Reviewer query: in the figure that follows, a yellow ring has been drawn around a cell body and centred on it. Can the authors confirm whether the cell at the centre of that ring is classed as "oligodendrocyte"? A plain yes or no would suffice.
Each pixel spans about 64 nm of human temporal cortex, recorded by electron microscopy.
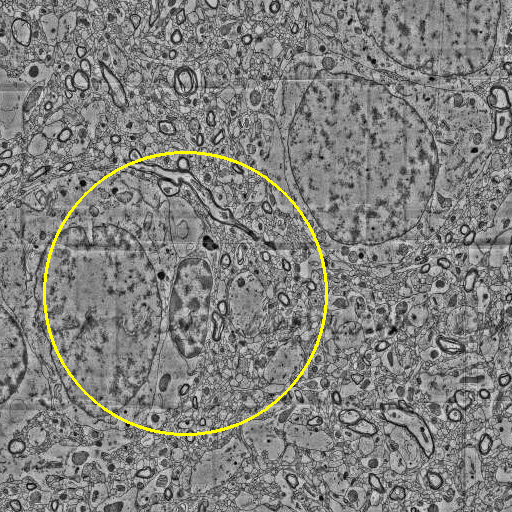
no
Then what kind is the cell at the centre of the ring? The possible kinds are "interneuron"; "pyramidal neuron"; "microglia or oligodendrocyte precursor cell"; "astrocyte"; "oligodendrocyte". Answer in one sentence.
What the ring encloses here is a microglial cell or oligodendrocyte precursor cell.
